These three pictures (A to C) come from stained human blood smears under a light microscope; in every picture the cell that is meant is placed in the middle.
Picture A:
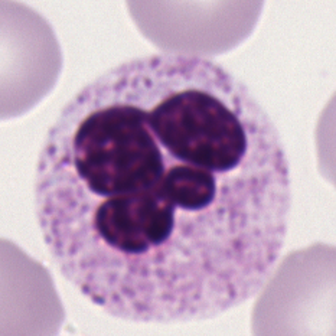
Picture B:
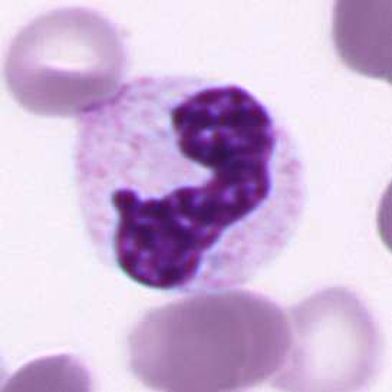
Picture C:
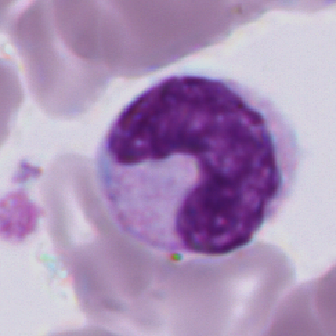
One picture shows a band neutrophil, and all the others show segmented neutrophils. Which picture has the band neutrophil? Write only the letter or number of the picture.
C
